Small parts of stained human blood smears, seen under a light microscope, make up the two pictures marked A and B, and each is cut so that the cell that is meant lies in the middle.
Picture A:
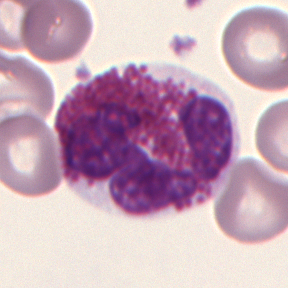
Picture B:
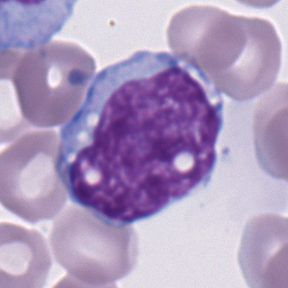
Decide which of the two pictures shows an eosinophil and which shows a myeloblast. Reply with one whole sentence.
Picture A shows an eosinophil and picture B shows a myeloblast.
